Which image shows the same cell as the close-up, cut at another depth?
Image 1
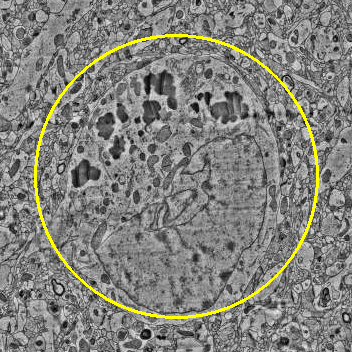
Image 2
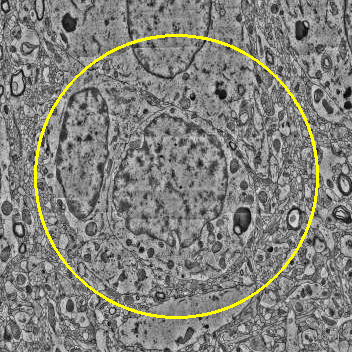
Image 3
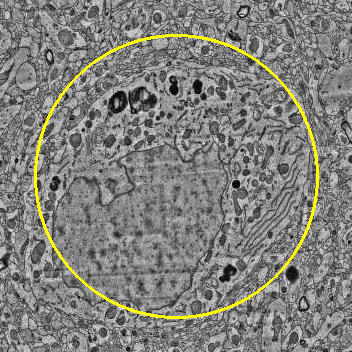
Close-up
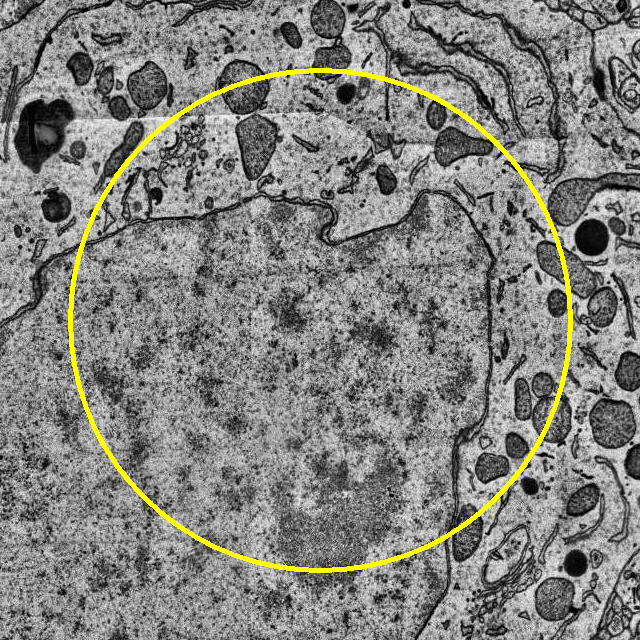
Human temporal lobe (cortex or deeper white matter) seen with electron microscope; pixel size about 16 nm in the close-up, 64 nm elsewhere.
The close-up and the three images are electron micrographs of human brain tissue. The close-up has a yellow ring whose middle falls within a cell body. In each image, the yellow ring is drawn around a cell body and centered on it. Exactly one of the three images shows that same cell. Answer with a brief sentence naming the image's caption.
In the close-up, the cell is the one circled within Image 3.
